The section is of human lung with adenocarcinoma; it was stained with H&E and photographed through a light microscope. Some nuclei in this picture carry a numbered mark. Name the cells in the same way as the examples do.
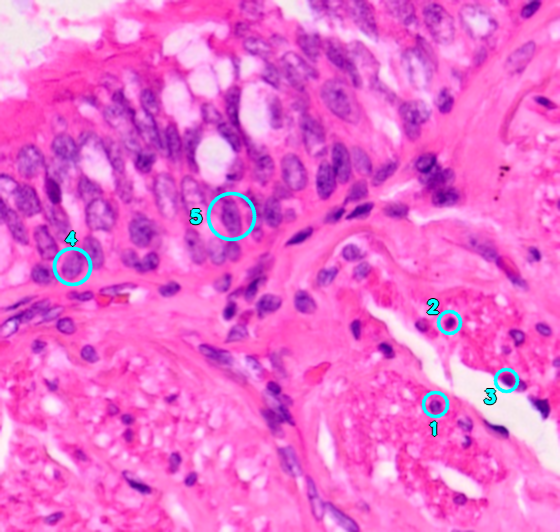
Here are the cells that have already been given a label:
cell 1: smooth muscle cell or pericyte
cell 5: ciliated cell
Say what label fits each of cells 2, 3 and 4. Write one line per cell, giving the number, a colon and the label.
2: smooth muscle cell or pericyte
3: smooth muscle cell or pericyte
4: ciliated cell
